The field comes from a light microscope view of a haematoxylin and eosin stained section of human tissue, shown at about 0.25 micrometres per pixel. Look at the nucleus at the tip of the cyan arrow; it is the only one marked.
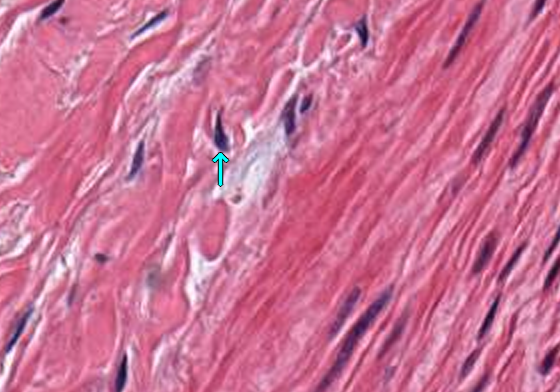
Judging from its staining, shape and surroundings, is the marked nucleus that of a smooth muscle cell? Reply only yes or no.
no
